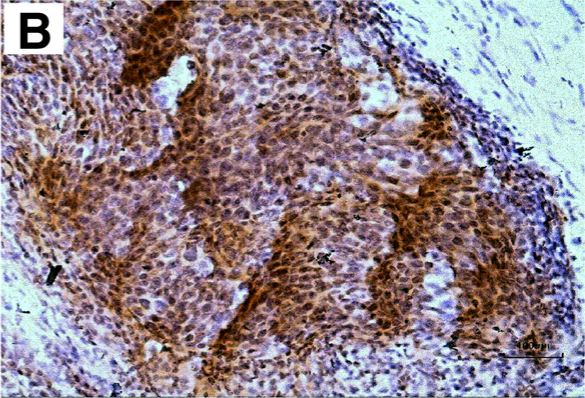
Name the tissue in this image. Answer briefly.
Squamous cell carcinomas.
